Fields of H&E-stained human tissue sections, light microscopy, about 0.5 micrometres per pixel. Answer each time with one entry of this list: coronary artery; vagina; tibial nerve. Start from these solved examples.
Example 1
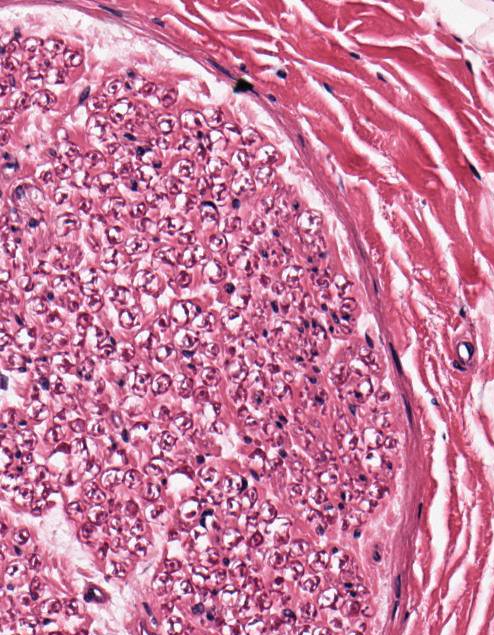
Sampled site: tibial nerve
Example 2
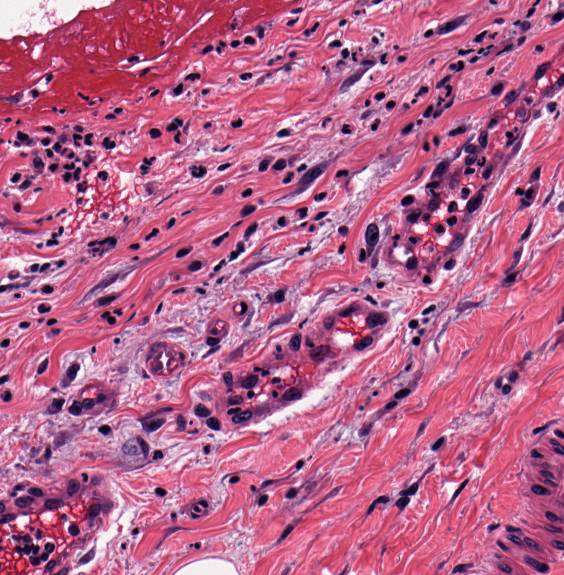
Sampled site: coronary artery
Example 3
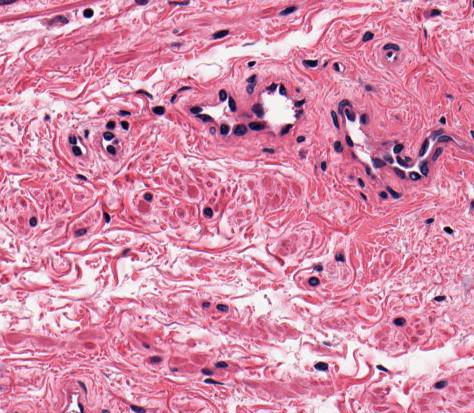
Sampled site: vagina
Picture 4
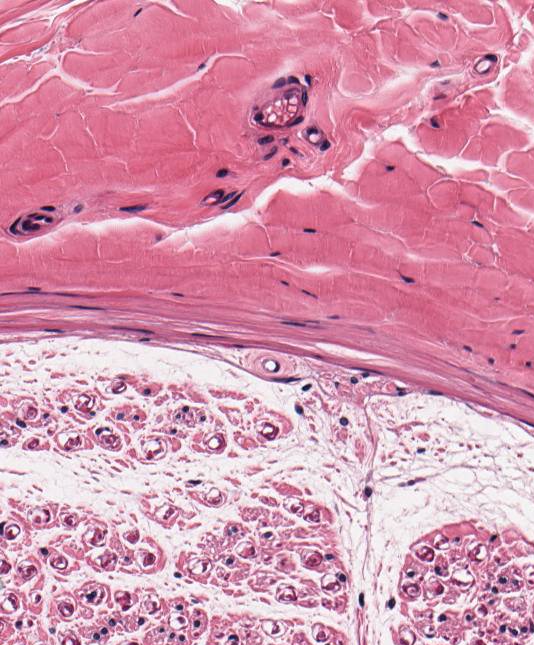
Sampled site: tibial nerve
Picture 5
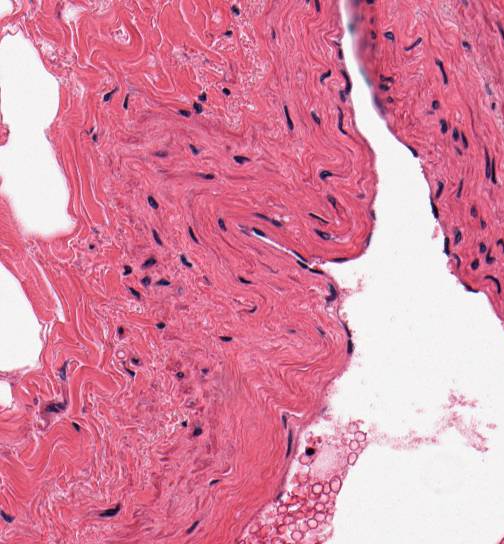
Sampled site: coronary artery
